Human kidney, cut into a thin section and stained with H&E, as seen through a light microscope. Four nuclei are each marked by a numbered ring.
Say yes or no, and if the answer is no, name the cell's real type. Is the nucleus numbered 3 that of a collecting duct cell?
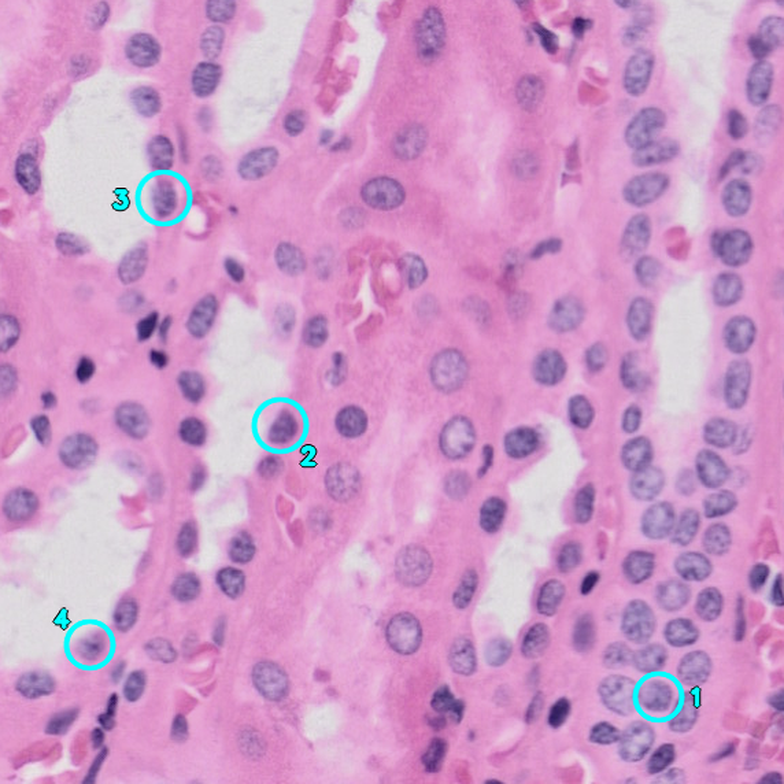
No, it is a loop of Henle or distal tubule cell.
